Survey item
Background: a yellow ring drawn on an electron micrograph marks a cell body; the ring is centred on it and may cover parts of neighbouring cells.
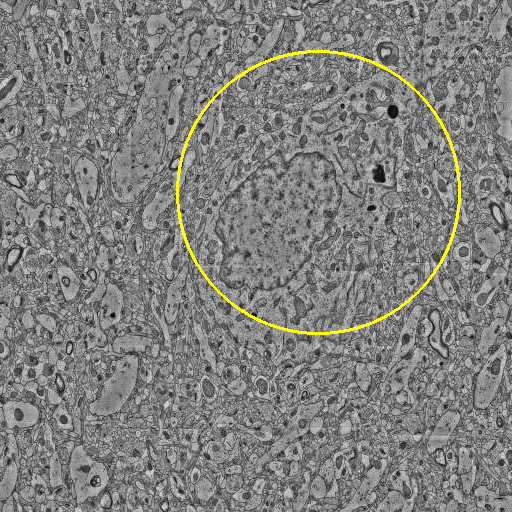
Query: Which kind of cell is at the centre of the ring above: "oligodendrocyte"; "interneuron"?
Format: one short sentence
The cell in the middle of the ring is an interneuron.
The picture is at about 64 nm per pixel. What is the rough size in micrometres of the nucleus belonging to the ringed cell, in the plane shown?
About 10 by 7 micrometers, in this plane.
